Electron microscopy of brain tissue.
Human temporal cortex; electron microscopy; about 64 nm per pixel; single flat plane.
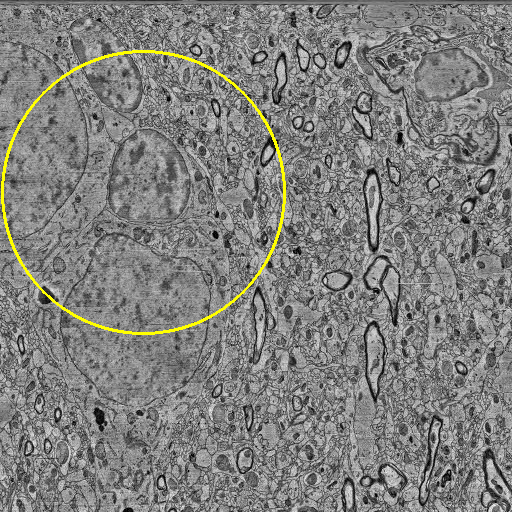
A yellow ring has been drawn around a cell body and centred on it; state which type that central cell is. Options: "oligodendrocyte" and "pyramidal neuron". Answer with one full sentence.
The cell at the middle of the yellow ring is an oligodendrocyte in this picture.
